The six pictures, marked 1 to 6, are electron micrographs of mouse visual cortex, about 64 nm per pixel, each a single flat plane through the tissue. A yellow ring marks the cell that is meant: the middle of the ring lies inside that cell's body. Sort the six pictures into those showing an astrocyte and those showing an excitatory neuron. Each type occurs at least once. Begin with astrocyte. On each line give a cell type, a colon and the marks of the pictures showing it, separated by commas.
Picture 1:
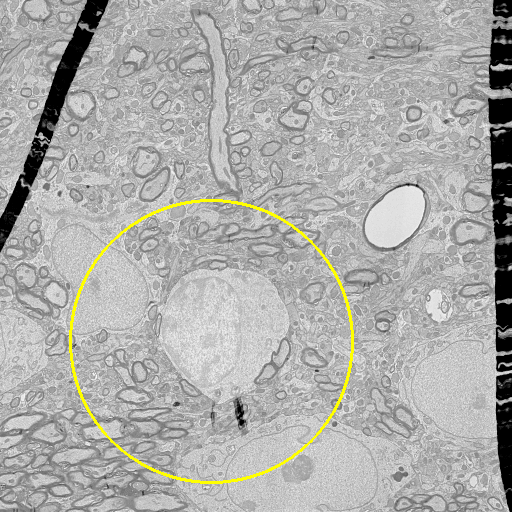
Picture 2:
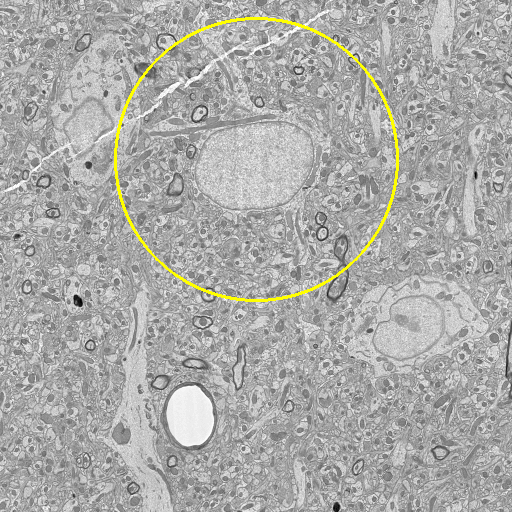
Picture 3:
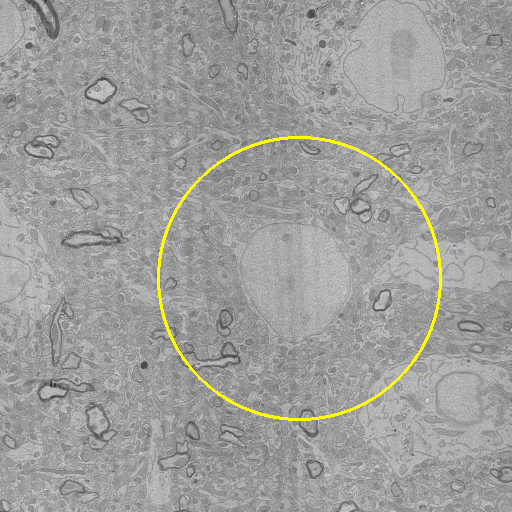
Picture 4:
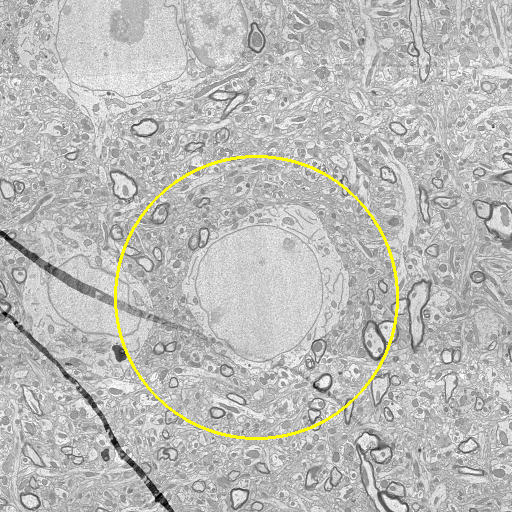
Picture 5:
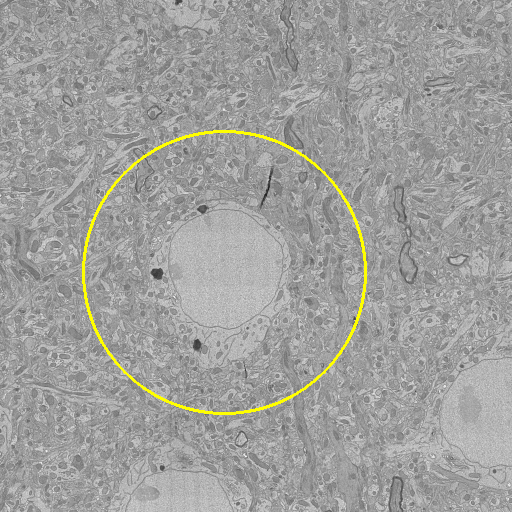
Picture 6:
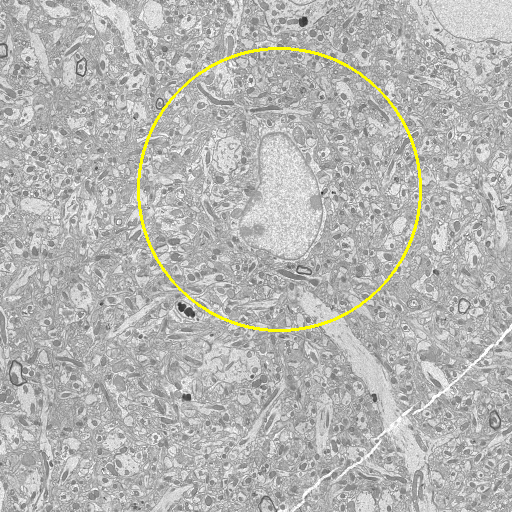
astrocyte: 1, 2, 3, 6
excitatory neuron: 4, 5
